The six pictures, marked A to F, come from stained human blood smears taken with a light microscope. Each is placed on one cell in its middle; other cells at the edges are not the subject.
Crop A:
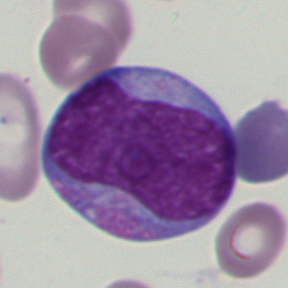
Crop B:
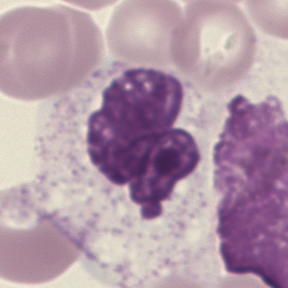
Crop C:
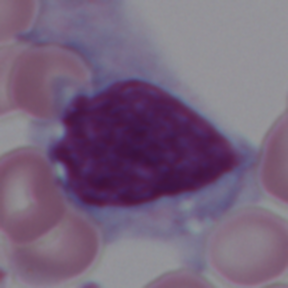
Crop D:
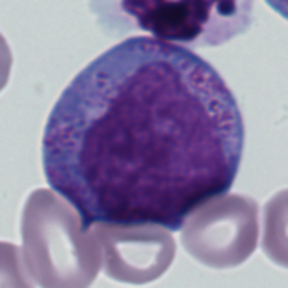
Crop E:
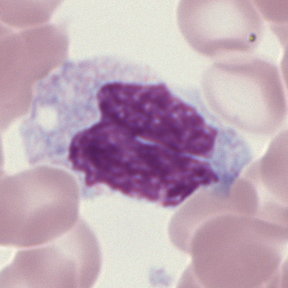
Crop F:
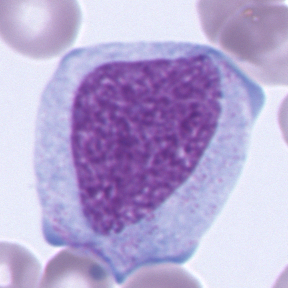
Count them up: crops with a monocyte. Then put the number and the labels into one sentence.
The two crops C and E are those that show monocytes.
